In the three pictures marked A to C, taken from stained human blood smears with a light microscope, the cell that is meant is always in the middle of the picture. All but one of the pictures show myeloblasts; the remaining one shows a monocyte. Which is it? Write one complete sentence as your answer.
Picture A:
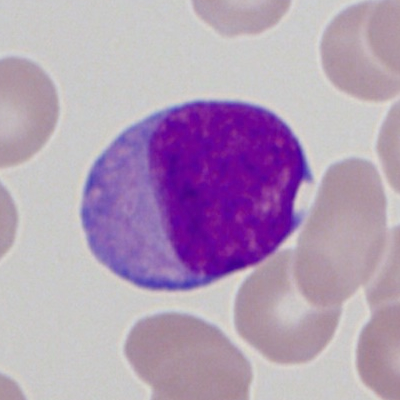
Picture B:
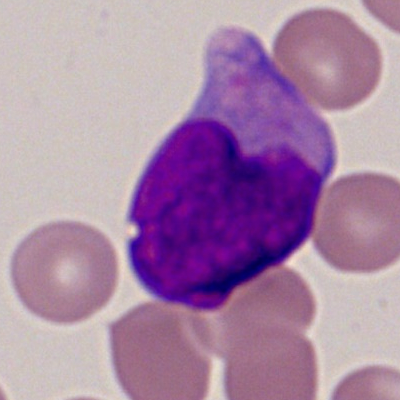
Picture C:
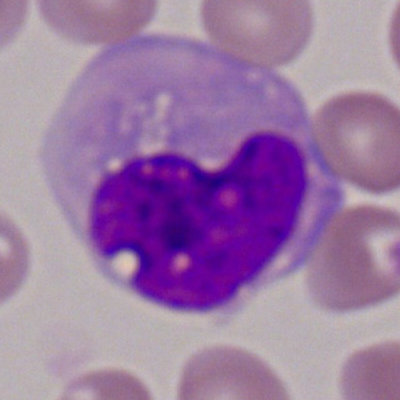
Picture C is the one that shows the monocyte.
